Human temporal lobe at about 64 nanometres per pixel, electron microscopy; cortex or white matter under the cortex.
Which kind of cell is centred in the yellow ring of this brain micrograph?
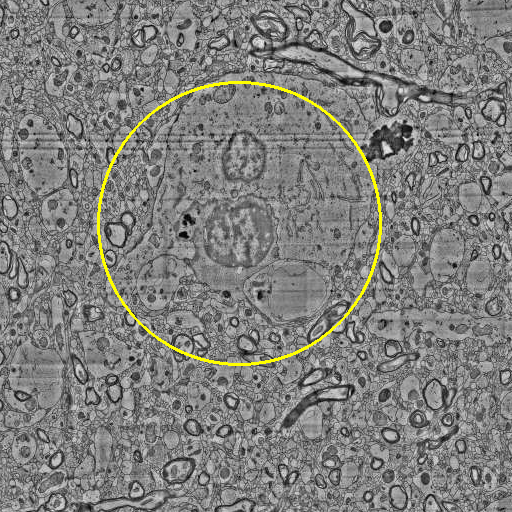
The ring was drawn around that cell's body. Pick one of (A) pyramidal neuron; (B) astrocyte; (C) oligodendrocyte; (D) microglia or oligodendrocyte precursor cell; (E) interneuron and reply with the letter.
C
